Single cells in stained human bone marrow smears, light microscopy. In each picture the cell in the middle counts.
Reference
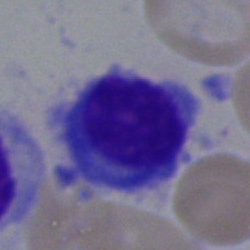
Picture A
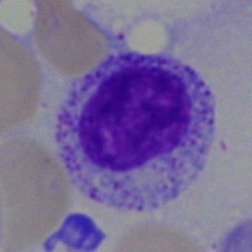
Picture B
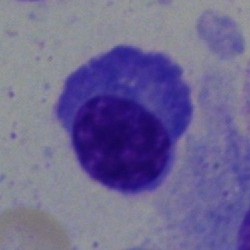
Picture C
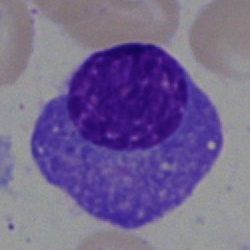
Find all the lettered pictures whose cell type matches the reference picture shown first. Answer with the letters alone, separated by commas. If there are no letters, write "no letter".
B, C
